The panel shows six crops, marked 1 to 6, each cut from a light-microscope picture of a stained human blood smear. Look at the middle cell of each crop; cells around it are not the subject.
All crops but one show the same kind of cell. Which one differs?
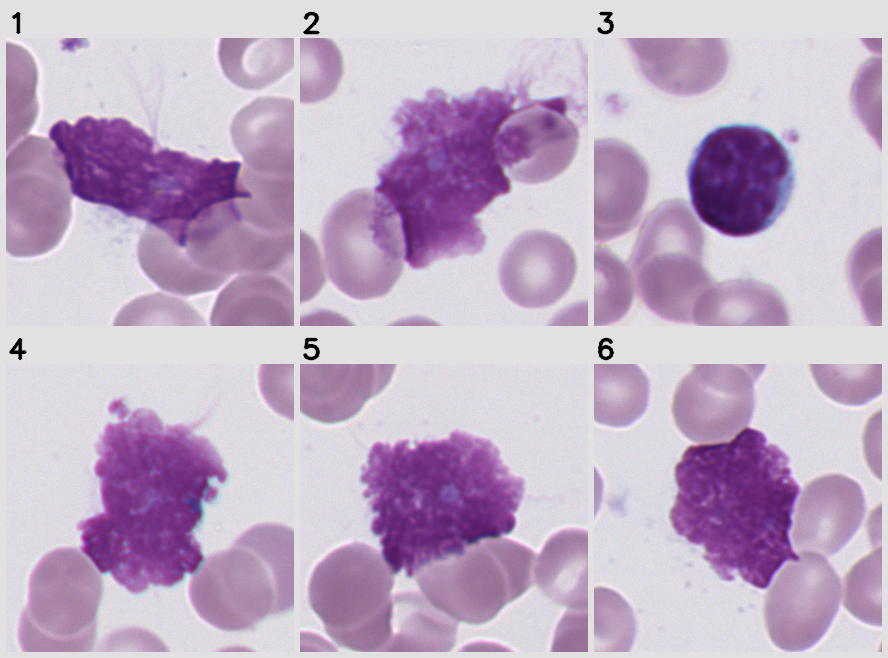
3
